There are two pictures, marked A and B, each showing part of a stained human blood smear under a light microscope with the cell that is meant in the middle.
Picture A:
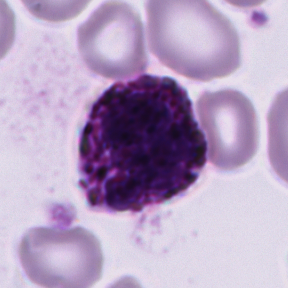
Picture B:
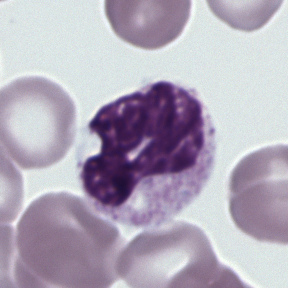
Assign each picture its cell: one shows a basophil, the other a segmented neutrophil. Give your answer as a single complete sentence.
Picture A is of a basophil, and picture B is of a segmented neutrophil.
